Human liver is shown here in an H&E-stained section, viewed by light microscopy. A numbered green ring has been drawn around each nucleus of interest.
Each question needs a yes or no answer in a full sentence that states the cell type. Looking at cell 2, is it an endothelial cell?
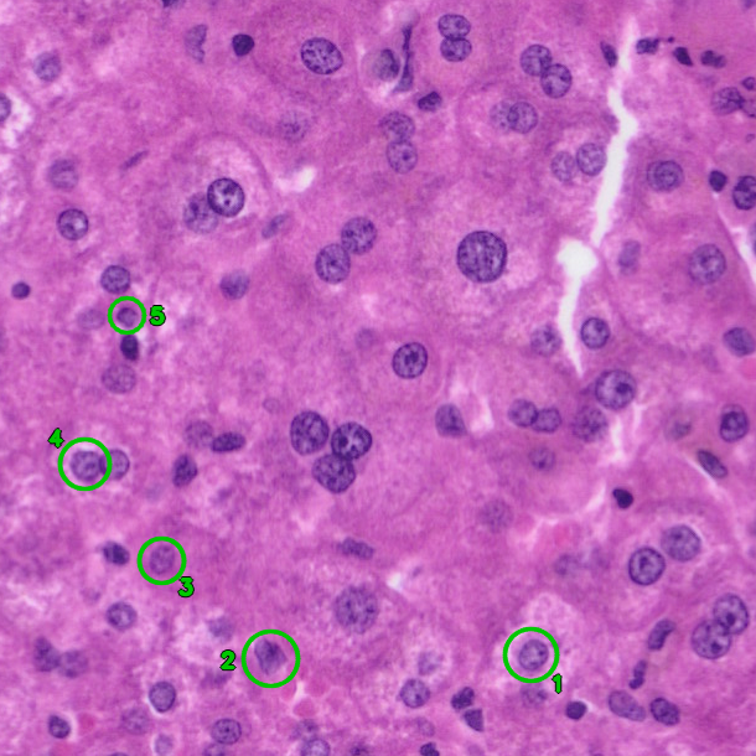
Yes, the cell that bears number 2 is an endothelial cell.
